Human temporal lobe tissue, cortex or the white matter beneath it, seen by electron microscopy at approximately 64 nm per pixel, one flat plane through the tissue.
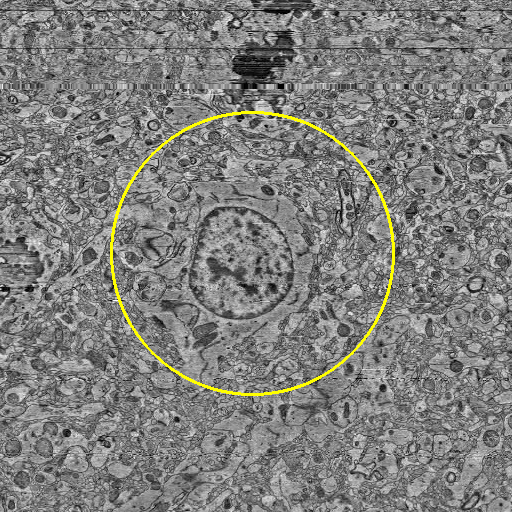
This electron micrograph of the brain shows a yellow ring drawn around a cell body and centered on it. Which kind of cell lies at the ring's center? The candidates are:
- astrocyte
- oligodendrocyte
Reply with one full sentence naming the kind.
The cell lying at the ring's center in this micrograph is an astrocyte.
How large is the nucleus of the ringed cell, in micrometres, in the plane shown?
In this plane the ringed cell's nucleus is roughly 7 micrometres across.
